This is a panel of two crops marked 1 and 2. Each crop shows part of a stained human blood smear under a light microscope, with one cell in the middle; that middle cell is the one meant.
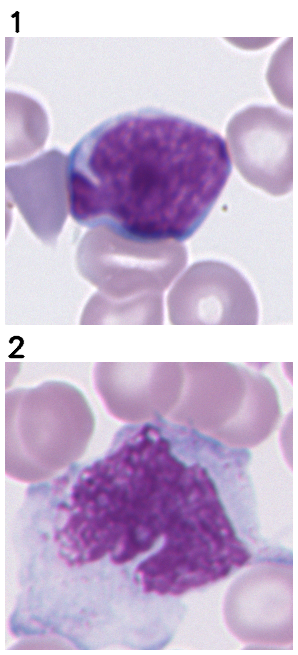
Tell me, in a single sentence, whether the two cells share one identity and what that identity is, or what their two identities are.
No, a blast and a monocyte are found in crop 1 and crop 2, respectively.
